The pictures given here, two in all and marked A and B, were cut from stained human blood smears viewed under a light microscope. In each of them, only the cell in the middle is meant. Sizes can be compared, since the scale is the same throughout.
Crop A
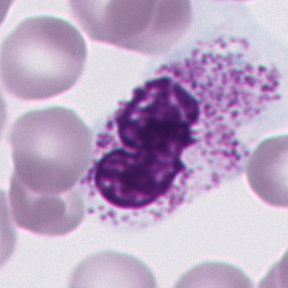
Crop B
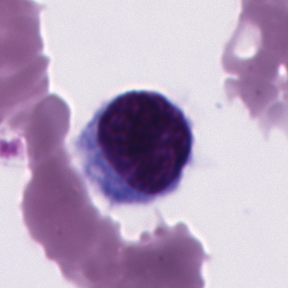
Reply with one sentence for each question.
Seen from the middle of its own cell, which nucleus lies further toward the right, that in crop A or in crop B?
The nucleus in crop B lies further toward the right of its cell.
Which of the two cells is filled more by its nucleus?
The nucleus fills more of the cell in crop B than in crop A.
